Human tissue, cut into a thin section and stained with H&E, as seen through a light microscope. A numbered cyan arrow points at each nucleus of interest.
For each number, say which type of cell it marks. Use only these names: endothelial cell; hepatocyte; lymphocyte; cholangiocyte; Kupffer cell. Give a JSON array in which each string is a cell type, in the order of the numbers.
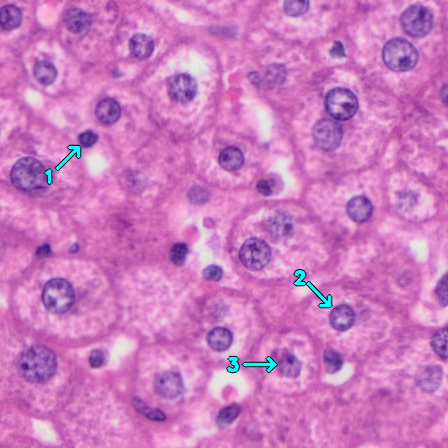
["lymphocyte", "hepatocyte", "hepatocyte"]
